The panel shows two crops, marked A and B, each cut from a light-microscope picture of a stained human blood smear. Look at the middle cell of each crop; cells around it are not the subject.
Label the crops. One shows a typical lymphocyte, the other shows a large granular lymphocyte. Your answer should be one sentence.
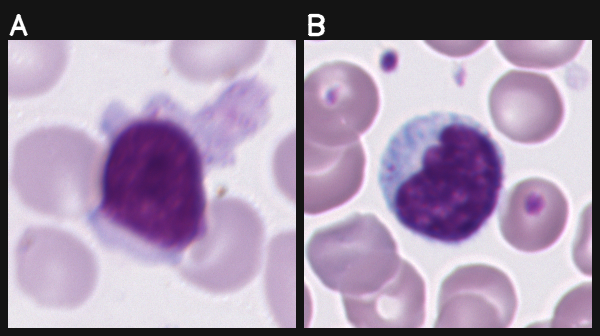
Crop A should be reported as a large granular lymphocyte, and crop B as a typical lymphocyte.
